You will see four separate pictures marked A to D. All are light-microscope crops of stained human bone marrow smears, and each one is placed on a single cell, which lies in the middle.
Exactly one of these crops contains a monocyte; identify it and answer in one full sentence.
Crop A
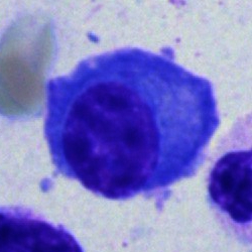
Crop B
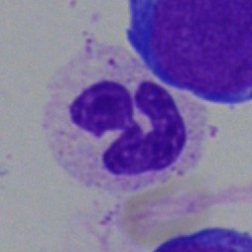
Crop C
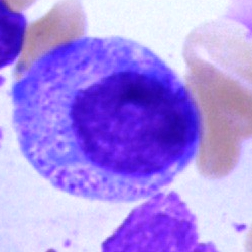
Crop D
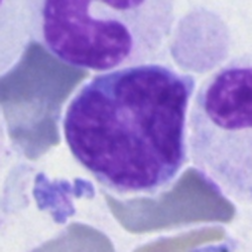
Crop D is the one in the set with a monocyte at the center.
